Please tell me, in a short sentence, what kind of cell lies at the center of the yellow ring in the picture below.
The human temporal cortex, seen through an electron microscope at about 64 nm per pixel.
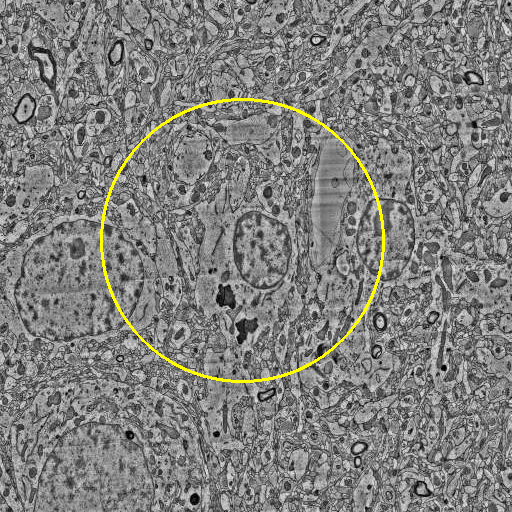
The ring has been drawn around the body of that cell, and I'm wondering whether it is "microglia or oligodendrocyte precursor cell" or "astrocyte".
The cell at the center of the ring is an astrocyte.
